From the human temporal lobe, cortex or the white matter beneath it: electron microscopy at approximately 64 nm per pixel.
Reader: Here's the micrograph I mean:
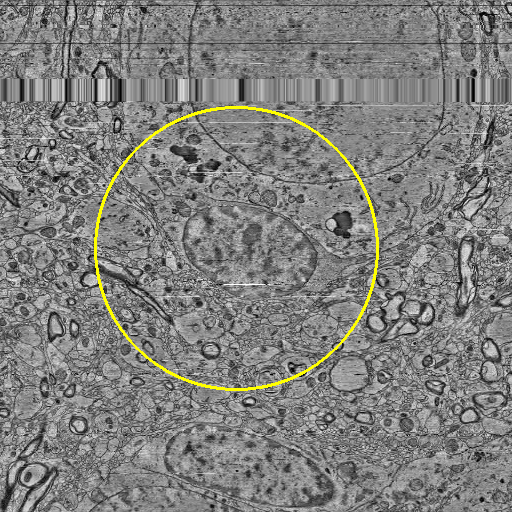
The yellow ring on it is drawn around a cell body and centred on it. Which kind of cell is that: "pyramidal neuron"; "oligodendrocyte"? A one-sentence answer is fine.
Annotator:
The ring is centred on an oligodendrocyte.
